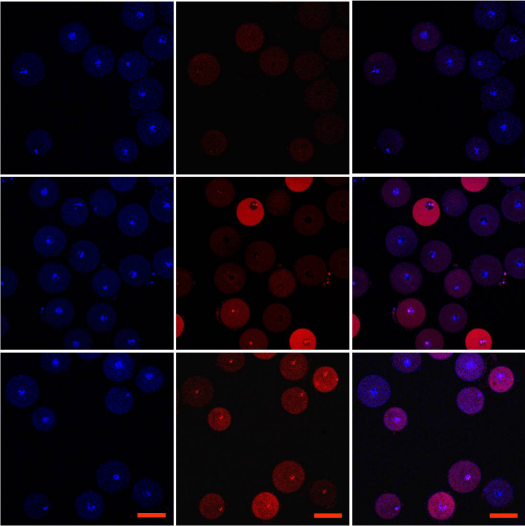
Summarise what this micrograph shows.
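These are isolated oocytes, seen as large round cells scattered singly across a dark field. Each has a wide, finely granular cytoplasm with a faint blue tint and one small, bright, compact blue spot of chromatin. The red fluorescence fills the cytoplasm evenly, and its brightness varies greatly from cell to cell, some being dim and others glowing strongly. In the merged pictures the brightly red cells take on a pink to magenta tone where blue and red overlap.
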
